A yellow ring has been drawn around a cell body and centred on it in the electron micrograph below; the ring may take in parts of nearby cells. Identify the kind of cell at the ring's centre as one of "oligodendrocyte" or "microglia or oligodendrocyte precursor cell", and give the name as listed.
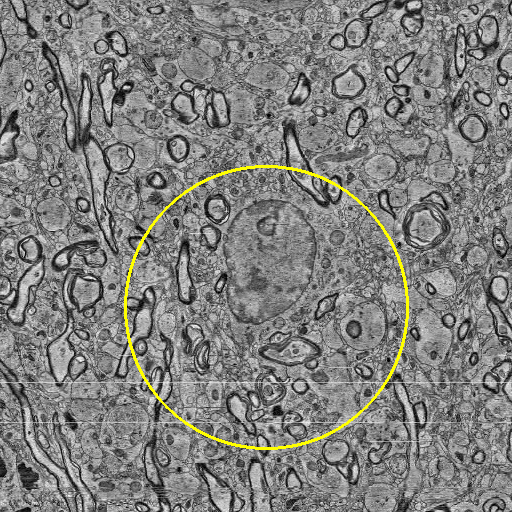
oligodendrocyte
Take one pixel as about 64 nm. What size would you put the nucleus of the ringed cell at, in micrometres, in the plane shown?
The nucleus measures about 8 by 6 micrometres in this plane.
